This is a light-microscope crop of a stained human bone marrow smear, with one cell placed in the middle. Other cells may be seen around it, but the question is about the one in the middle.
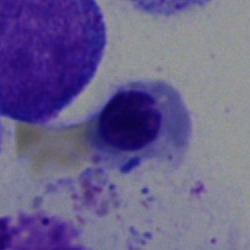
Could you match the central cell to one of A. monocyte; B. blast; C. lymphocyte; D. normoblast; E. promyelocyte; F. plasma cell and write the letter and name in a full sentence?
The cell in the middle is correctly identified as a normoblast in option D.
